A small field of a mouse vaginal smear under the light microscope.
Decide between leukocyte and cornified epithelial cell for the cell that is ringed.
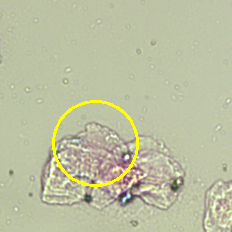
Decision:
I take the ringed cell for a cornified epithelial cell.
